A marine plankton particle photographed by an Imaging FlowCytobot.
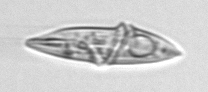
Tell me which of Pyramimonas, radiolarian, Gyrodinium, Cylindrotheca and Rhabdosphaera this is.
The picture shows Gyrodinium.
